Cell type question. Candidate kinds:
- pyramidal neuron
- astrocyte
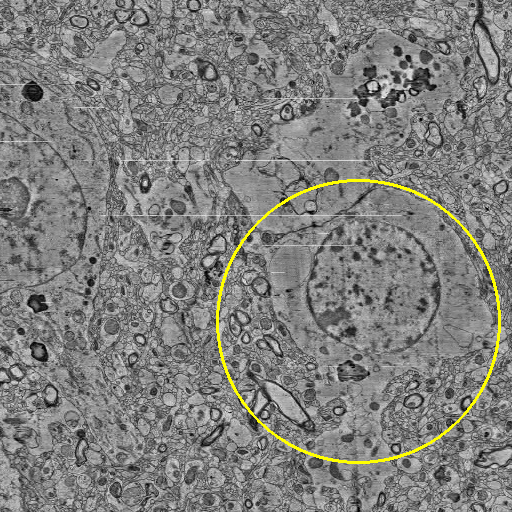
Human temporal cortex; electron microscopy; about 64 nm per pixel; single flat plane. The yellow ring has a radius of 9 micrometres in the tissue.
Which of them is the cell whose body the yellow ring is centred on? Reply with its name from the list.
astrocyte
